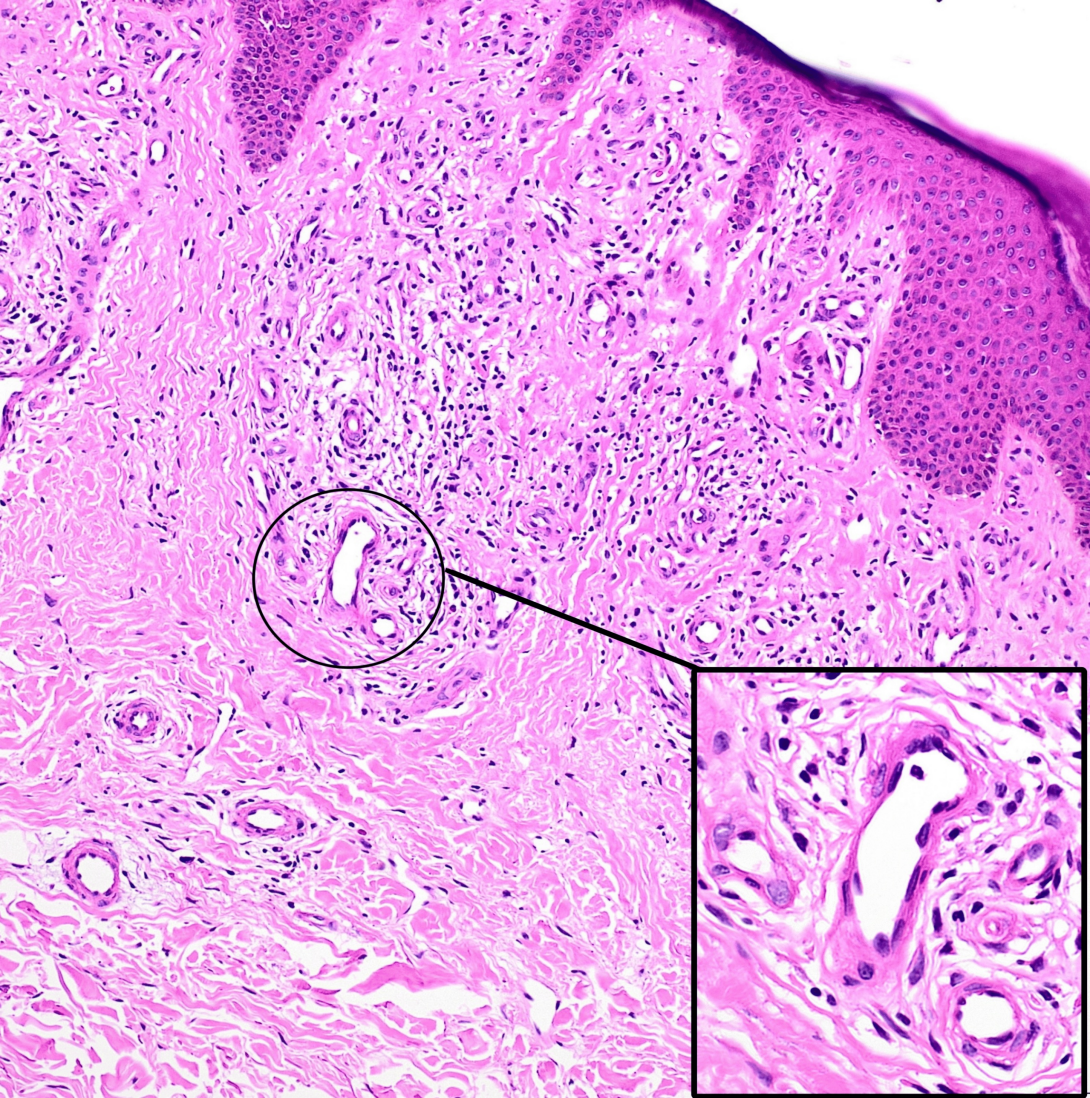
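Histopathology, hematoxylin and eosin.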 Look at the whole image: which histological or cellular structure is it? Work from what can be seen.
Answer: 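Numerous small round and oval lumina lined by cells are scattered through the pink connective tissue below the epidermis. Several vessels in the lower part have thicker pink walls around a round lumen. That points to this answer: blood vessels.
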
